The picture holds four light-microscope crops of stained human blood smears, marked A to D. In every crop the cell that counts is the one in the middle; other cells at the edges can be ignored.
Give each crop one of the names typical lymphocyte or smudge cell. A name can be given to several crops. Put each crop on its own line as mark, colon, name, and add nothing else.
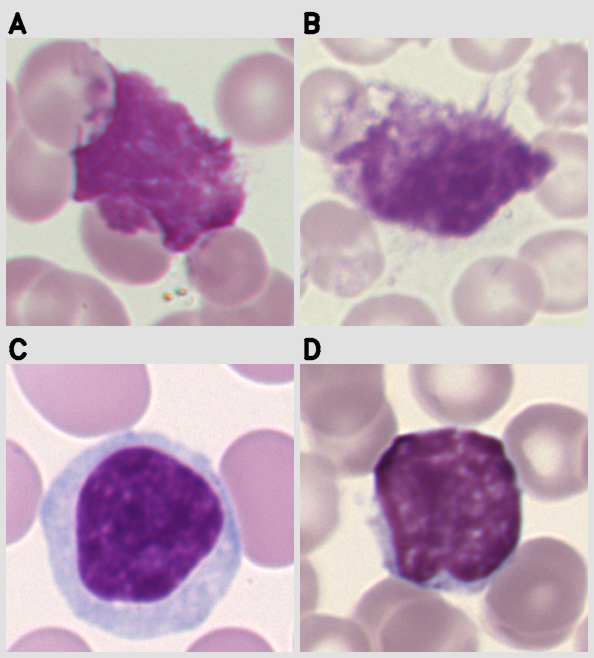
A: smudge cell
B: smudge cell
C: typical lymphocyte
D: typical lymphocyte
